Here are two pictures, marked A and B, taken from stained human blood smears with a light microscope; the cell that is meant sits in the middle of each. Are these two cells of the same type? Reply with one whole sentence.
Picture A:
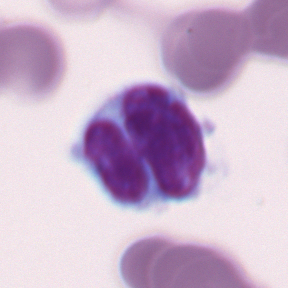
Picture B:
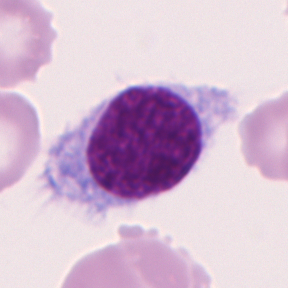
No. Picture A shows a typical lymphocyte, but picture B shows a hairy cell.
